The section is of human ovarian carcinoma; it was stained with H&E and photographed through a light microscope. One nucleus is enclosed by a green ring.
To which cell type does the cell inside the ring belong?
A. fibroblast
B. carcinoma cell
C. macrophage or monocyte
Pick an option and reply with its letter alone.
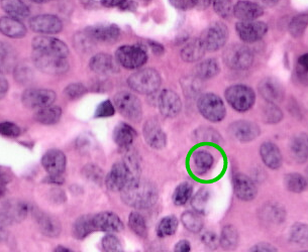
C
